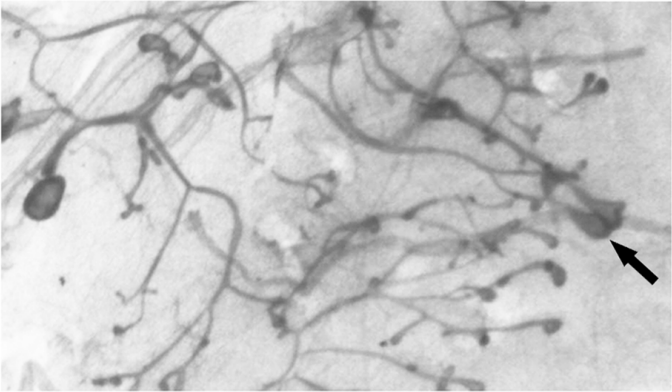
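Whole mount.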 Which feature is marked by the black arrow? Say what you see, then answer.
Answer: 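Terminal end buds. The arrow points to a large dark oval swelling at a duct's end. Many ducts end in rounded, club-shaped bulbs. The ducts are long and sparsely branched.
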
